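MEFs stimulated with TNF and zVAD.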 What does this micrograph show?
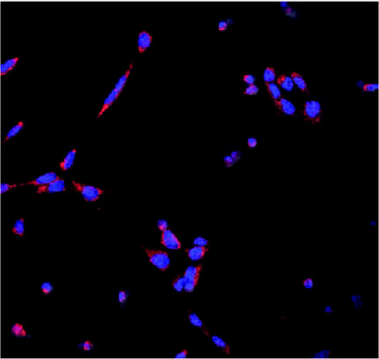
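Many cells appear elongated or spindle-shaped with thin extensions, while others are rounded and lie in small clusters. Red granular fluorescence is seen in the cytoplasm around the nuclei of many cells and along their extensions. The cells are sparse, with wide dark spaces between them.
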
